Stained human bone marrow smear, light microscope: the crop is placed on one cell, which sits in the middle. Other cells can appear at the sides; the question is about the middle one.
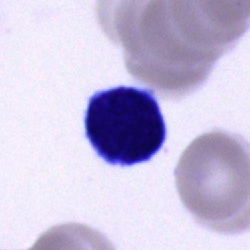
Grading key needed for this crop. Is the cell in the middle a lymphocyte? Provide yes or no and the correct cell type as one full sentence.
Yes, a lymphocyte is present in the middle of the crop.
